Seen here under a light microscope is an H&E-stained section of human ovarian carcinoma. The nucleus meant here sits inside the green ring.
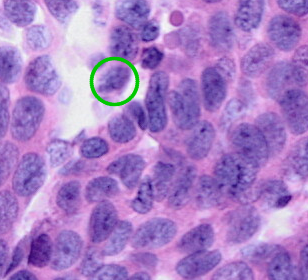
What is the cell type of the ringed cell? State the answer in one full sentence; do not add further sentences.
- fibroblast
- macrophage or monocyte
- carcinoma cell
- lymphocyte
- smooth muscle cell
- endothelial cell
At the level of cell identity, the ringed cell is a carcinoma cell.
